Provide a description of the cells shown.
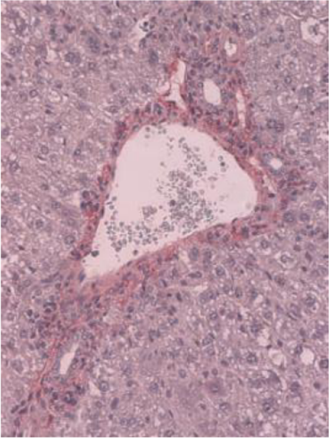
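A periportal area of liver with a large, roughly triangular vessel whose lumen holds scattered blood cells. The vessel wall is surrounded by a dense collar of many small cells with dark purple nuclei, and smaller vessels lie nearby in the same band. Around it the liver cells are polygonal with round, blue-purple nuclei and pinkish cytoplasm.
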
